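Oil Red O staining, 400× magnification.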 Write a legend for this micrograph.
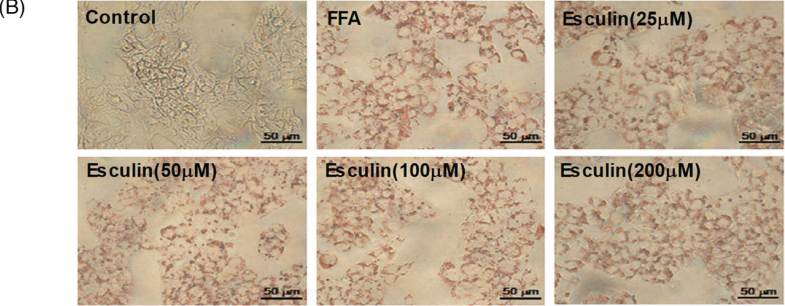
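In the other five fields the cells are rounded to polygonal and lie in groups separated by clear spaces of background. The amount of red looks broadly similar across these five fields. Nuclei are not clearly resolved at this scale.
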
